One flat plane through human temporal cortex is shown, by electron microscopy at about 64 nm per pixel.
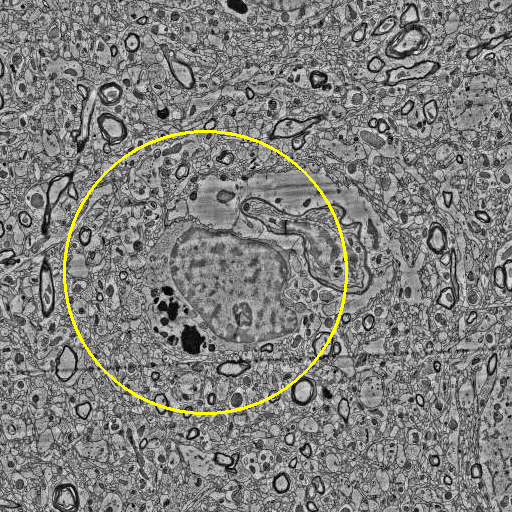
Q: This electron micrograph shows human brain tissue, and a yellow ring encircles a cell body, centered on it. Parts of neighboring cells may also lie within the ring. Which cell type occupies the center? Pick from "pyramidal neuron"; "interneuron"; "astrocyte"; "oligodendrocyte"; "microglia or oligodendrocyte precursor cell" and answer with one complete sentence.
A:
What sits at the ring's center in this micrograph is an oligodendrocyte, among those choices.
